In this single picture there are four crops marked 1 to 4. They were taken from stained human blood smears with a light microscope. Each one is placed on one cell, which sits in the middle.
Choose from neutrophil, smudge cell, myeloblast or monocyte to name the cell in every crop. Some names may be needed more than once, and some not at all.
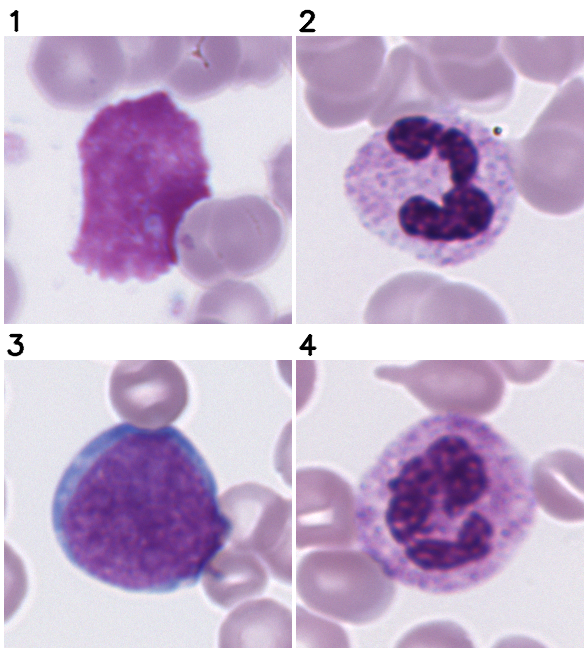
1: smudge cell
2: neutrophil
3: myeloblast
4: neutrophil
